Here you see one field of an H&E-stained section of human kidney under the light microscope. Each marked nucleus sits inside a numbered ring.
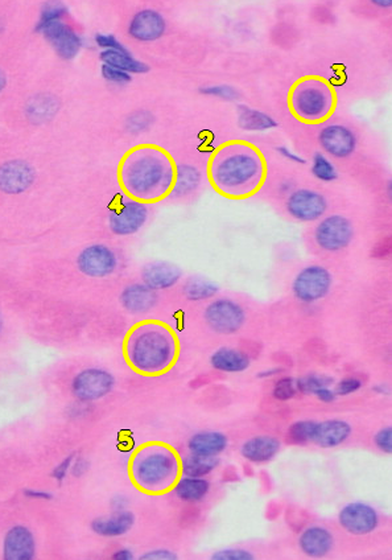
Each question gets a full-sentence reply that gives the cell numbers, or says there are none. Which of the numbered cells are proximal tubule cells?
The cells referred to by the numbers 1 and 3 are proximal tubule cells.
